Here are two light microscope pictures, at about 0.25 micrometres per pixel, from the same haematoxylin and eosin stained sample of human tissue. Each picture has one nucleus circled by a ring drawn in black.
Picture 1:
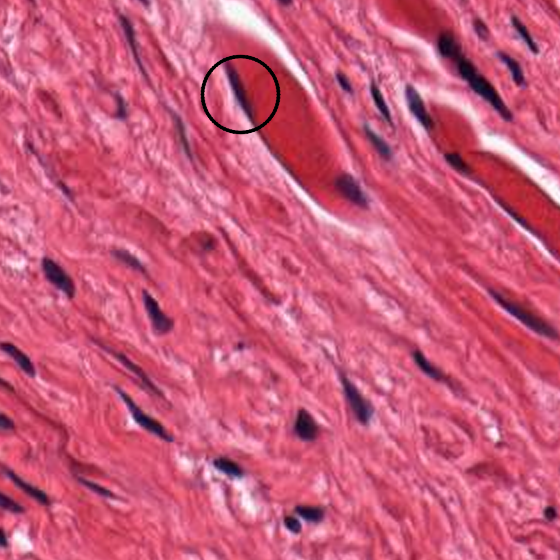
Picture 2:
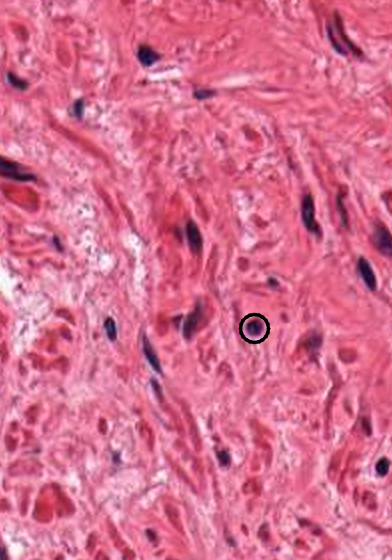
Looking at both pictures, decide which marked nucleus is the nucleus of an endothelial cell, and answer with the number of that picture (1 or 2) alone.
1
